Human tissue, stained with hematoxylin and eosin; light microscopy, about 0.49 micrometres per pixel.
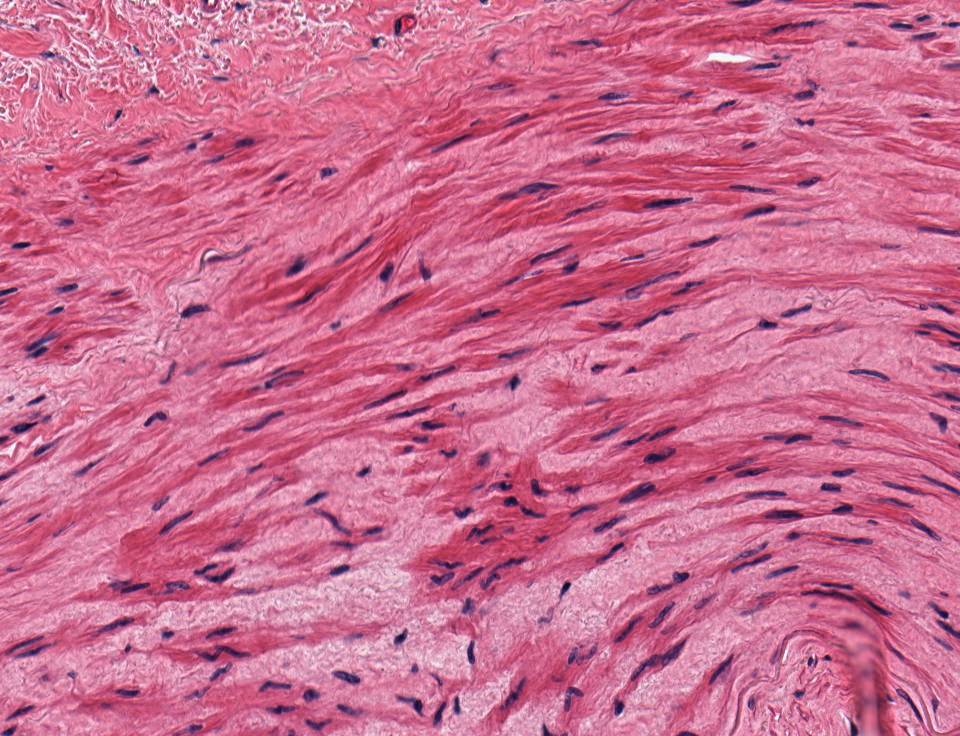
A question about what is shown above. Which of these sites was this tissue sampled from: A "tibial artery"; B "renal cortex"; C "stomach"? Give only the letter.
A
